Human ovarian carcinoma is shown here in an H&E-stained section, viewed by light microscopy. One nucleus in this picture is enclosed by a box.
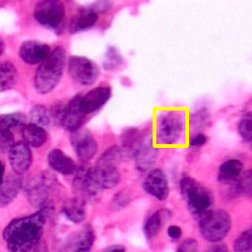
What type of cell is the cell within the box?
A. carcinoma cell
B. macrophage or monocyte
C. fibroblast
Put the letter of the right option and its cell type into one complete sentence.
In this case the cell within the box is a macrophage or monocyte, so option B is correct.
